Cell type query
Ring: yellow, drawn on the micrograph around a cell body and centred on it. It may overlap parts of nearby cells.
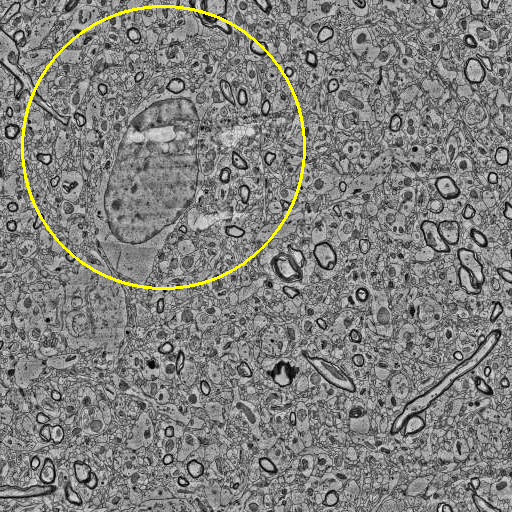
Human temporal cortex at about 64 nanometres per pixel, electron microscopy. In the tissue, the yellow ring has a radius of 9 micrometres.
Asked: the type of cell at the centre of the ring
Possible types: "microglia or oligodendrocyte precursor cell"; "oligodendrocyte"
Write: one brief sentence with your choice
The ring marks a microglial cell or oligodendrocyte precursor cell.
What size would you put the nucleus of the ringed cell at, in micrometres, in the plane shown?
The nucleus comes to approximately 10 by 6 micrometres and is clearly longer than it is wide in this plane.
